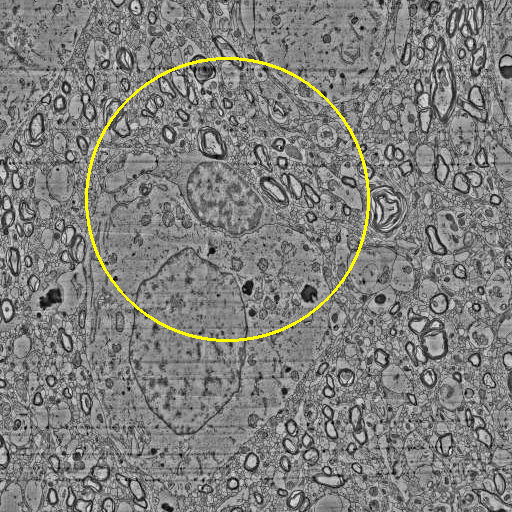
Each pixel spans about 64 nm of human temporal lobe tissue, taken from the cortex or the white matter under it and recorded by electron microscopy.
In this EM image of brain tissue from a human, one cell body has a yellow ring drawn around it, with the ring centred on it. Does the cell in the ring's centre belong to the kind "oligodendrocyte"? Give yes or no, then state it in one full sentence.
Yes, in the picture, the cell centred in the yellow ring belongs to that kind.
